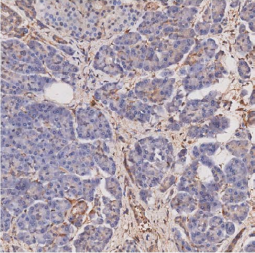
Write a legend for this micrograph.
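Non-cancer pancreatic tissue made of lobules of tightly packed glandular cells separated by thin connective-tissue septa. The glandular cells are arranged in small rounded clusters, with round blue nuclei and blue-purple cytoplasm showing at most faint brown tint. Brown stain lies mainly in the septa between lobules and around small vessels, where spindle-shaped stromal cells and fibres are seen. A small round open space lies among the lobules.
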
